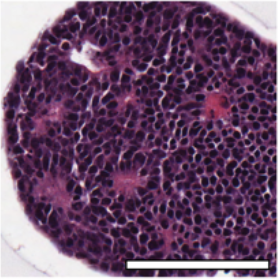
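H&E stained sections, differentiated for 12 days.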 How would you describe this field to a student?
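This is a section through a rounded embryoid body made of tightly packed small cells, each with a large, dark purple nucleus and only a thin rim of paler cytoplasm. Scattered through the mass are small pale pink patches, and the cells around some of them seem to crowd toward the pink centre. The outer edge is smooth and rounded.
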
